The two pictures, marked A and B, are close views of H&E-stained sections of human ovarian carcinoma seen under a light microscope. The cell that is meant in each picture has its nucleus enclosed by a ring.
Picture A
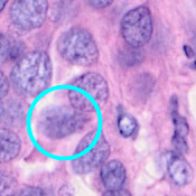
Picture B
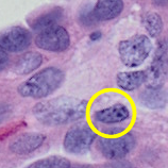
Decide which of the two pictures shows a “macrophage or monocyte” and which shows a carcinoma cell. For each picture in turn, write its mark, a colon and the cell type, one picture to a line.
A: carcinoma cell
B: macrophage or monocyte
